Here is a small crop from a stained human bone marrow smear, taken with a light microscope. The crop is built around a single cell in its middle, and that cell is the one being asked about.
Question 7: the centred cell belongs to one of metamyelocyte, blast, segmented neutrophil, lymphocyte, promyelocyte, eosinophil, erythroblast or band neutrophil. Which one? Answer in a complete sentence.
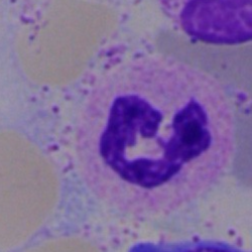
In this crop, the cell at the very middle is a segmented neutrophil.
